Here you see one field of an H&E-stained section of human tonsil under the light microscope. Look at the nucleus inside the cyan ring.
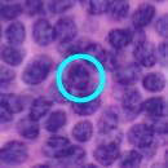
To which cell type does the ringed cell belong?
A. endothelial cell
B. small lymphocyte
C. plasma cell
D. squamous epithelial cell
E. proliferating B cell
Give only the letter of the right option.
B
